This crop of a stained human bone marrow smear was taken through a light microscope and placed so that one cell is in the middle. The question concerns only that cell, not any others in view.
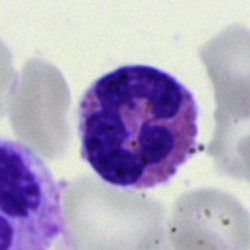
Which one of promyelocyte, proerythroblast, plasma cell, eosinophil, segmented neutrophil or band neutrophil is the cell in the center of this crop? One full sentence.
By type, the central cell of the crop is an eosinophil.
